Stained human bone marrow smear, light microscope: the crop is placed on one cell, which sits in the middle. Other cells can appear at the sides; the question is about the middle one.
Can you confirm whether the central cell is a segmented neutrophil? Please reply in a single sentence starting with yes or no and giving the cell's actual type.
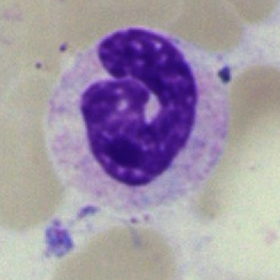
Yes, the cell that the crop is centered on is a segmented neutrophil.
